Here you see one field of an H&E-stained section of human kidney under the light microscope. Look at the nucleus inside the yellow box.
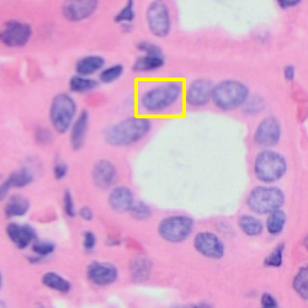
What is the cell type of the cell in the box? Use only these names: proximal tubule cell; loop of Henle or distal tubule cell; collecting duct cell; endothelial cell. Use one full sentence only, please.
Among the cells in this section, the cell in the box is a collecting duct cell.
